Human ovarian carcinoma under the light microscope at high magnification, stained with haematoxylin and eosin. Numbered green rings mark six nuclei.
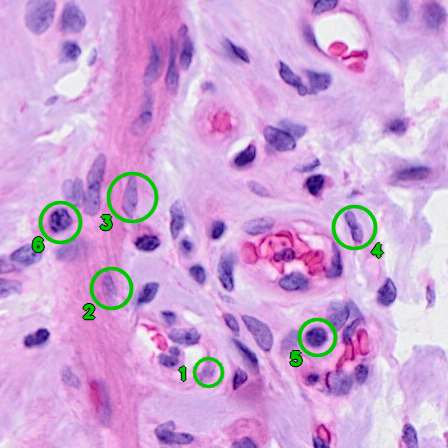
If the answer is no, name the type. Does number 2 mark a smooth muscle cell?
Yes.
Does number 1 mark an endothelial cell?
Yes.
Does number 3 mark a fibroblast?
No, it is a smooth muscle cell.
